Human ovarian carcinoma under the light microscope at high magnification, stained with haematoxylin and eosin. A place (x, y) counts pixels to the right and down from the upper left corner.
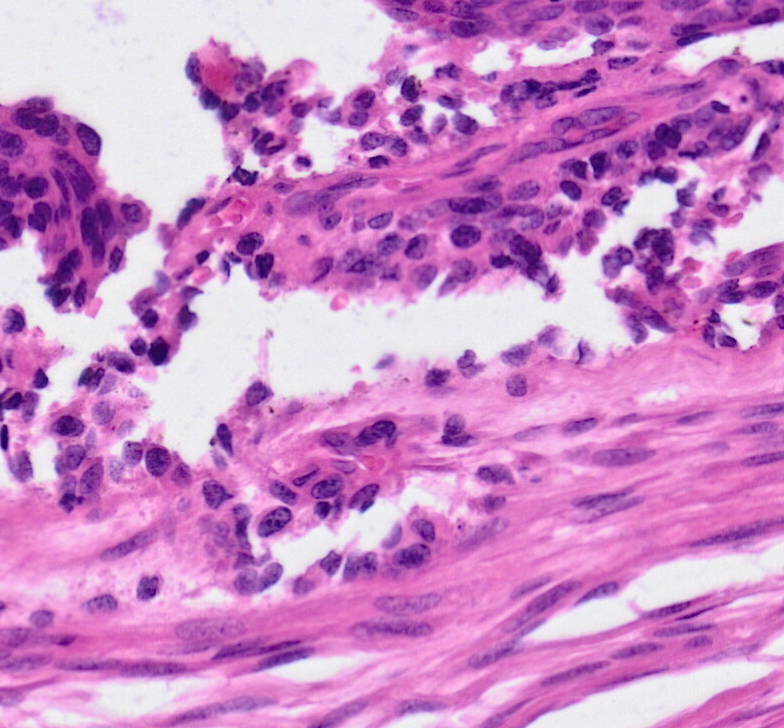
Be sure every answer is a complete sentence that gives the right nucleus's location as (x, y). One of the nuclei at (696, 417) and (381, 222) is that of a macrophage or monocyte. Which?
The nucleus at (381, 222) is the member of the pair belonging to a macrophage or monocyte.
